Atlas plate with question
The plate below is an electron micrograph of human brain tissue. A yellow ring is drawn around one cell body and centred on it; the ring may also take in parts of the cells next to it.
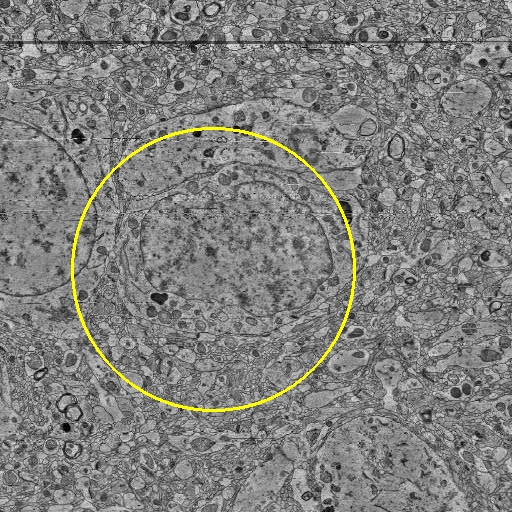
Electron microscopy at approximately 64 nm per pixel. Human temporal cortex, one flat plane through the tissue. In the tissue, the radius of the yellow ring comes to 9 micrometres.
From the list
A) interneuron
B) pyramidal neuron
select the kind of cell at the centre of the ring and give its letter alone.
A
